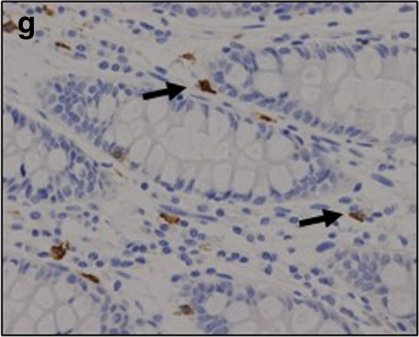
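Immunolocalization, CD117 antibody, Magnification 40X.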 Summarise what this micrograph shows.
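Normal colon mucosa with crypts cut lengthwise, lined by epithelial cells with pale, clear cytoplasm and blue basal nuclei. In the stroma between the crypts lie scattered single mast cells stained dark brown, small and irregular or elongated, among unstained cells with blue nuclei.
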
